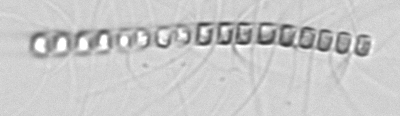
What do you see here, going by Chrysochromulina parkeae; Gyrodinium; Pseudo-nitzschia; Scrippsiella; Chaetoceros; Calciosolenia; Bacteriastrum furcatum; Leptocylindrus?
I see Chaetoceros.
